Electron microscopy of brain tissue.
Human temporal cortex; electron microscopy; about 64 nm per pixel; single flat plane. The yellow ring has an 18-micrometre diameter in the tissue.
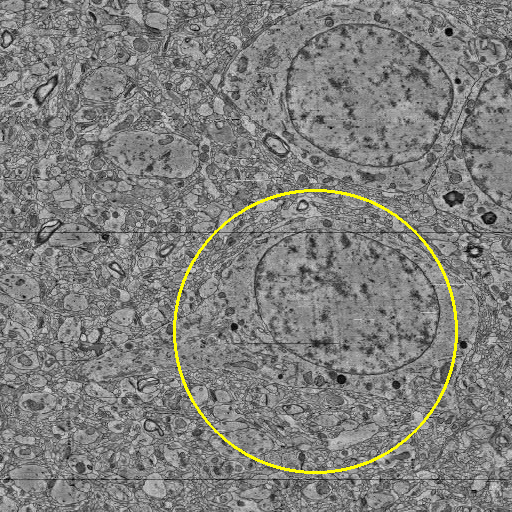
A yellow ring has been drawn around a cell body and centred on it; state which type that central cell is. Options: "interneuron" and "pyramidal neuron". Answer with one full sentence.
The cell at the middle of the yellow ring is a pyramidal neuron in this picture.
